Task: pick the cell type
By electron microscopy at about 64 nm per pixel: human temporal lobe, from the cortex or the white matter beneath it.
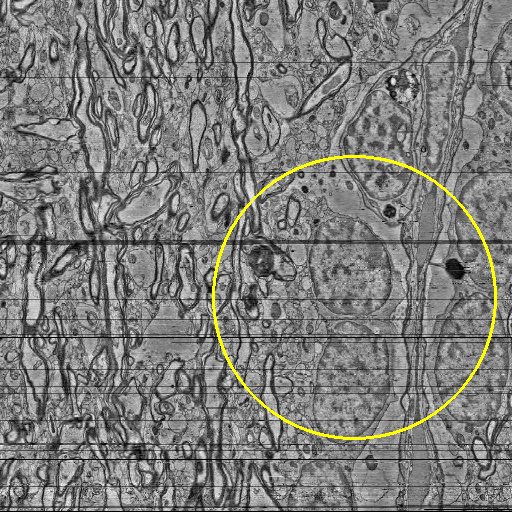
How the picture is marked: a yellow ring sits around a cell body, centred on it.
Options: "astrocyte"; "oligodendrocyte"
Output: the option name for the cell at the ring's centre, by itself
oligodendrocyte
